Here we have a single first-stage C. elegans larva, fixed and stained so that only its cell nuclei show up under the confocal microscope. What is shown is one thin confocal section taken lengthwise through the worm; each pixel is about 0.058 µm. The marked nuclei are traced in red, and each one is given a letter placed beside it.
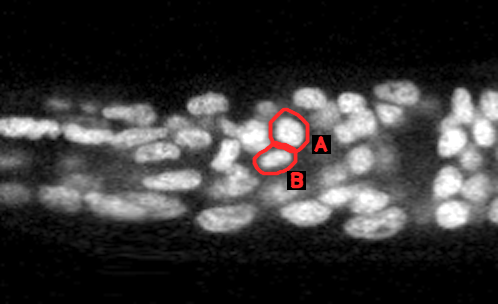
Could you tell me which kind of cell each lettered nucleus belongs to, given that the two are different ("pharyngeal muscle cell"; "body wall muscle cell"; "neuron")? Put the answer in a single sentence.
Nucleus A comes from a neuron and nucleus B from a pharyngeal muscle cell.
